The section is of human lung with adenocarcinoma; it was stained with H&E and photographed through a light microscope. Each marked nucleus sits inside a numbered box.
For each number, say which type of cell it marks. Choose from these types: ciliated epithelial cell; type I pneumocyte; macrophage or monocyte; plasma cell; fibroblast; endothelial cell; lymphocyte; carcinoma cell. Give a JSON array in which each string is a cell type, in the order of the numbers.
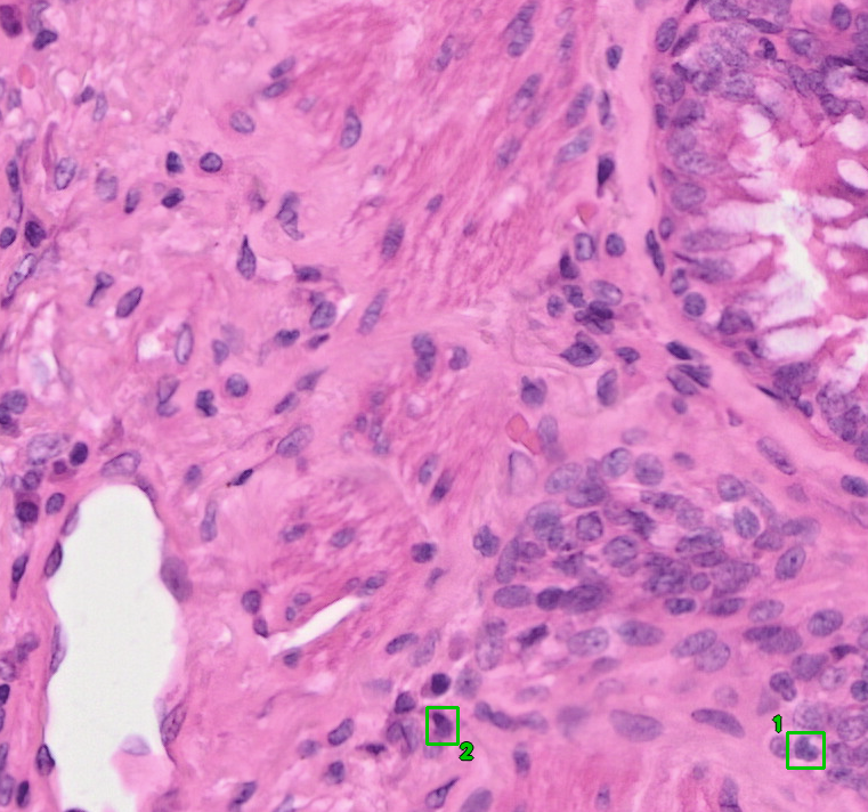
["lymphocyte", "plasma cell"]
